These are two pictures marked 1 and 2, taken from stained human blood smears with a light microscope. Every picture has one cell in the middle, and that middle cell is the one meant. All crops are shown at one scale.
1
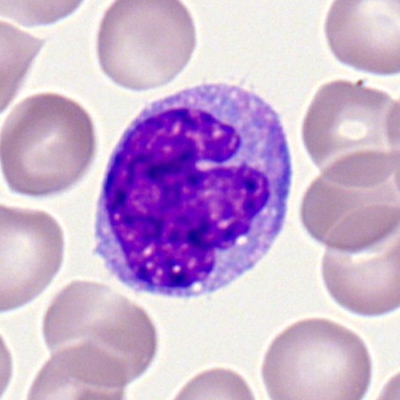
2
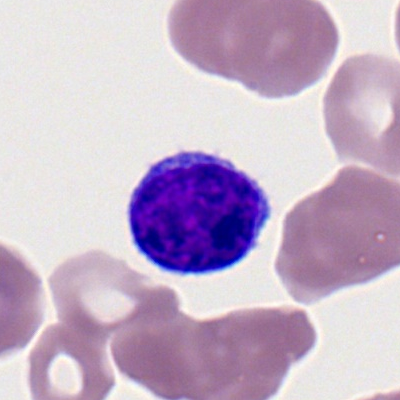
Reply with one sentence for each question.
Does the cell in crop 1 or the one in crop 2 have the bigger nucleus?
It is the nucleus in crop 1, about 1.5 times as large in area as the one in crop 2.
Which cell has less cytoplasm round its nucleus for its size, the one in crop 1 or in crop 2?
The nucleus fills more of the cell in crop 2 than in crop 1.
